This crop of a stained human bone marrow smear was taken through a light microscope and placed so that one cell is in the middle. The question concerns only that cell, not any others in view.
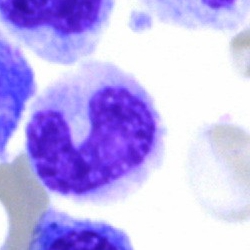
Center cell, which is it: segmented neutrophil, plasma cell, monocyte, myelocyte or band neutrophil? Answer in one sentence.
In this crop, the cell at the very middle is a band neutrophil.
